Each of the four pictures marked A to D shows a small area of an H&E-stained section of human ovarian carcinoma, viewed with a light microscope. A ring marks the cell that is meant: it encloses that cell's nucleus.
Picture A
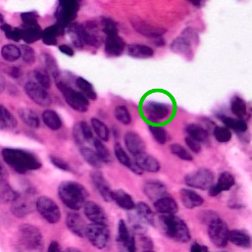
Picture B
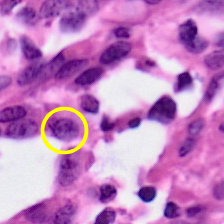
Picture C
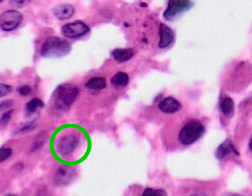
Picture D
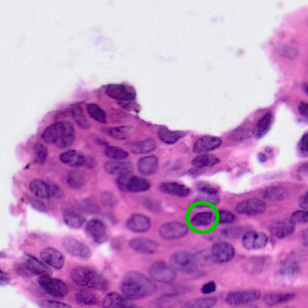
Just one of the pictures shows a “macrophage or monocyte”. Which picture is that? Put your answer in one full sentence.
Picture C shows the “macrophage or monocyte”.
